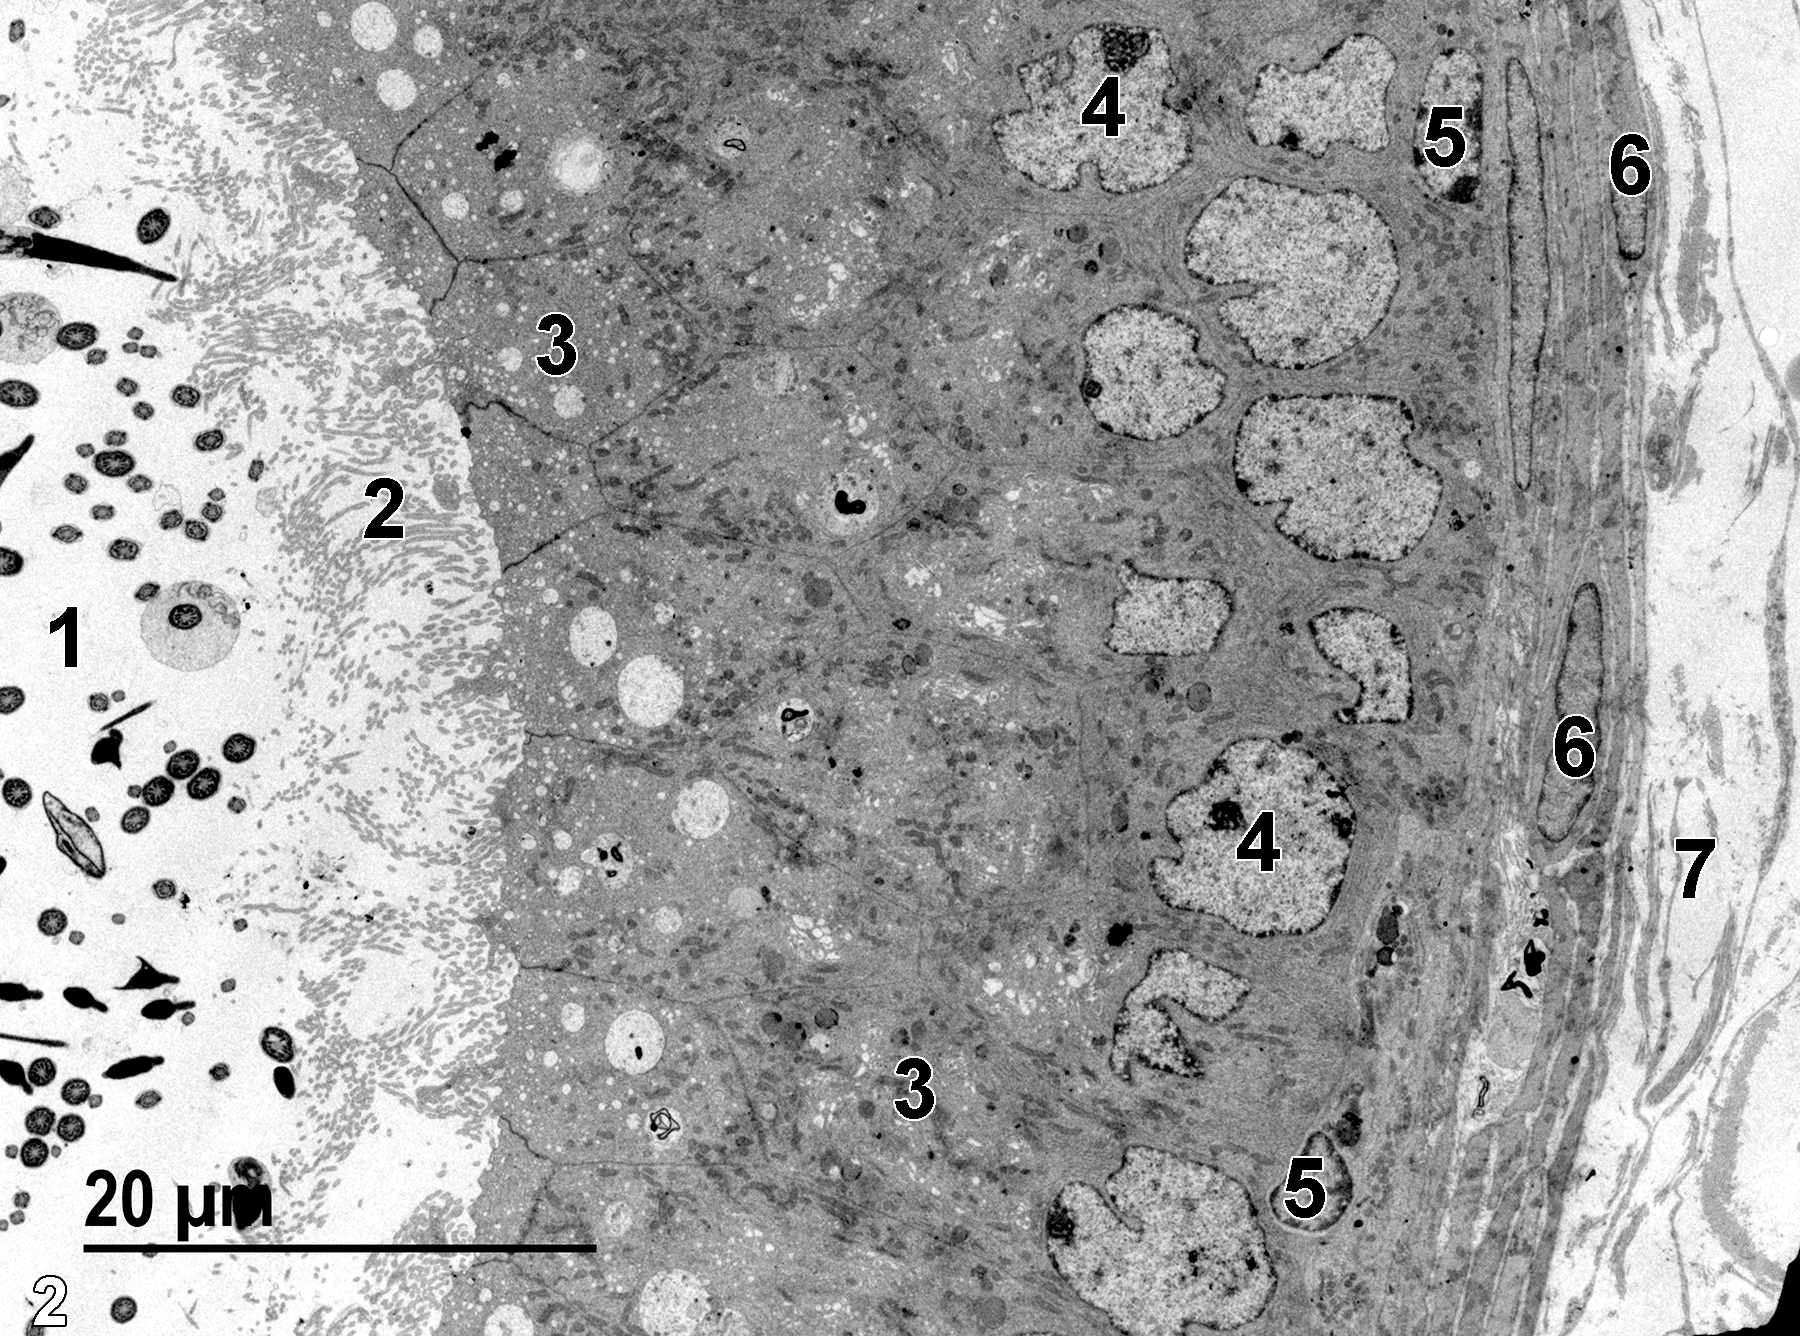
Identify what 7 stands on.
Bundles of collagen fibers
